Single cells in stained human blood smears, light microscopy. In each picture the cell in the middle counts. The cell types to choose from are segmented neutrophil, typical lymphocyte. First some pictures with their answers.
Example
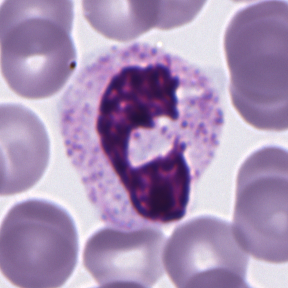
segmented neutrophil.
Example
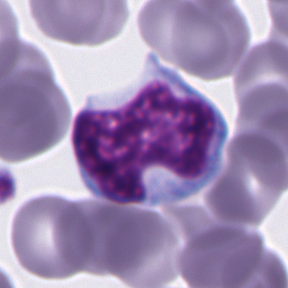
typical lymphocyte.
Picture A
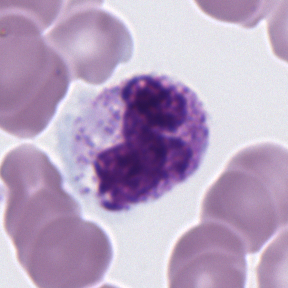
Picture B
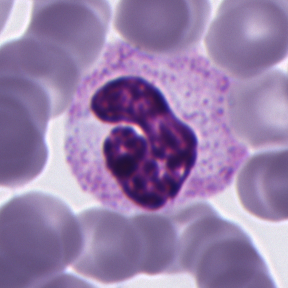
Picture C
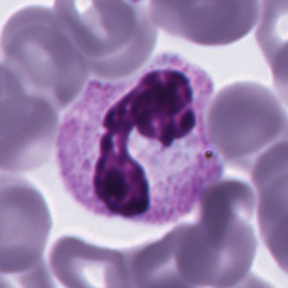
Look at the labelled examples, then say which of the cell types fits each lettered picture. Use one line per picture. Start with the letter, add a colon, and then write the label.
A: segmented neutrophil.
B: segmented neutrophil.
C: segmented neutrophil.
